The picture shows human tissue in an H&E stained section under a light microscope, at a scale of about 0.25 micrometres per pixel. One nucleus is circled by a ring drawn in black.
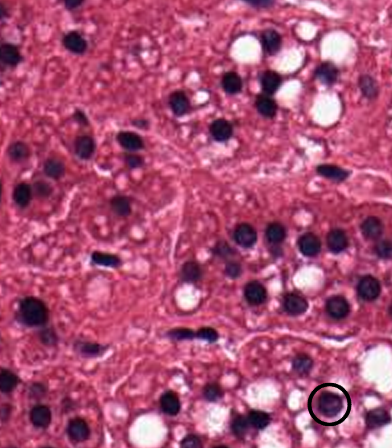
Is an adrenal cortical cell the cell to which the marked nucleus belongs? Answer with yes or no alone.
yes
